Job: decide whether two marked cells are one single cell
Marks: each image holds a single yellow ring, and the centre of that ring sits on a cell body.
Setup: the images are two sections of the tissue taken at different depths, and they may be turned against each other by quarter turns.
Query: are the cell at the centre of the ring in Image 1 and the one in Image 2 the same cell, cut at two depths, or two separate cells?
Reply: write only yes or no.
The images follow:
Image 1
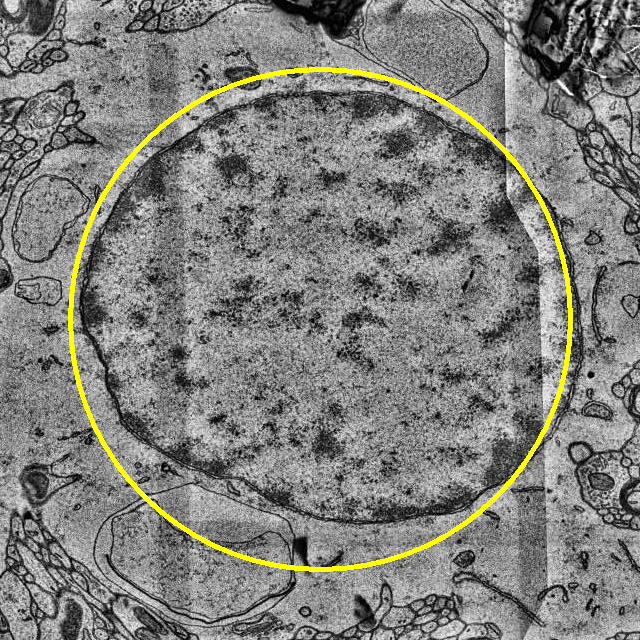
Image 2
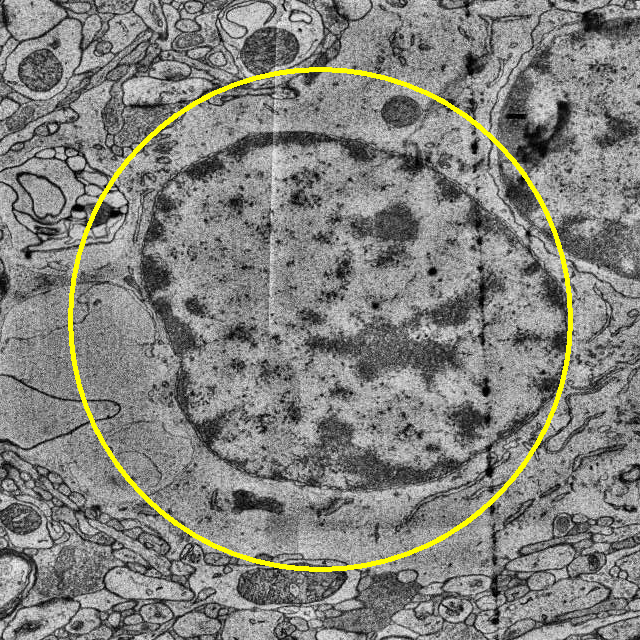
no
